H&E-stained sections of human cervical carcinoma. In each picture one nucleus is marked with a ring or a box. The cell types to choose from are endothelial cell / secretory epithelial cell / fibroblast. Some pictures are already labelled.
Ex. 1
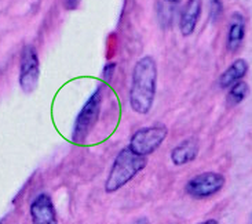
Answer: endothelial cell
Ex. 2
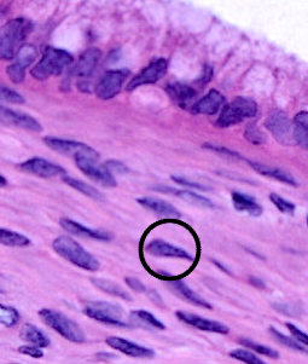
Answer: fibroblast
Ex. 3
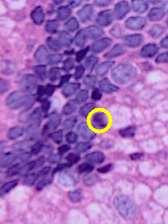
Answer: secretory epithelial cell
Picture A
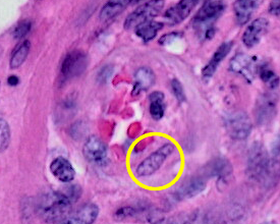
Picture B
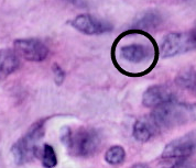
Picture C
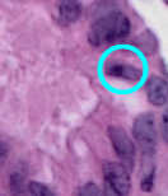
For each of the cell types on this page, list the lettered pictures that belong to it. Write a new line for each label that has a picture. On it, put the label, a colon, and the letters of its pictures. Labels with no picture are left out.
endothelial cell: A
secretory epithelial cell: C
fibroblast: B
